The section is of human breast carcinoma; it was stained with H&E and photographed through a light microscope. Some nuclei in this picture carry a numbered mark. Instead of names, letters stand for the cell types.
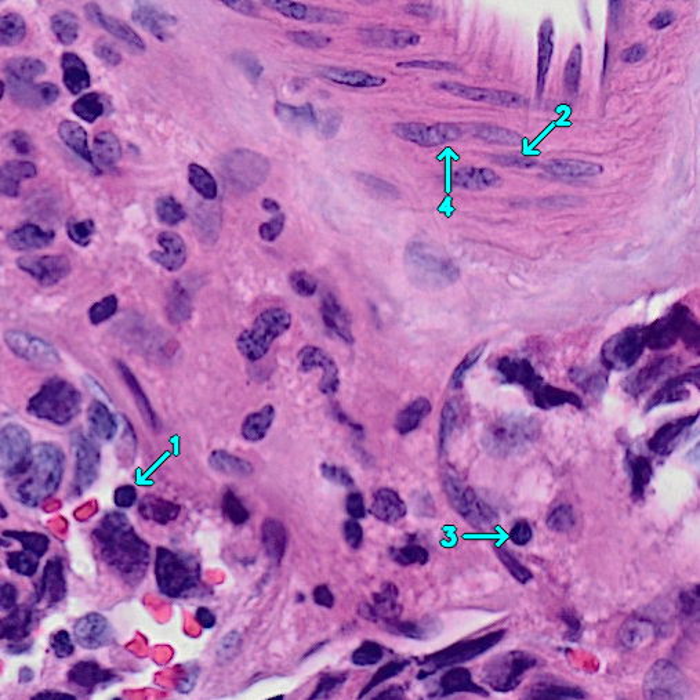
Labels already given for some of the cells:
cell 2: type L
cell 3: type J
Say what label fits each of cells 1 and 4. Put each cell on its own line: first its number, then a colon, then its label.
1: type J
4: type L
